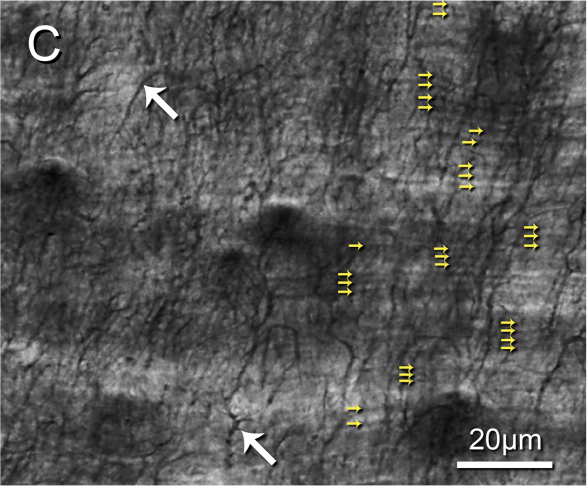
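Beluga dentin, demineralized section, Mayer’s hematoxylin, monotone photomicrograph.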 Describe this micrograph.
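A few darker rounded blotches interrupt the matrix. No cell bodies are seen within the field, only the tubules and layered matrix.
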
